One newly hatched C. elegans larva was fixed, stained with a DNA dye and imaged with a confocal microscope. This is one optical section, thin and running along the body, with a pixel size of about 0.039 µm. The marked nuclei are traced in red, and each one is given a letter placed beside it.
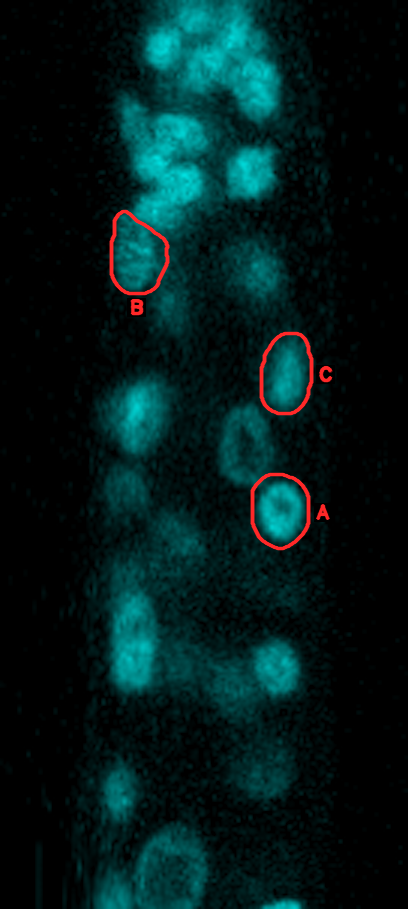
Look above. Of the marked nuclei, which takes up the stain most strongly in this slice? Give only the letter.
A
